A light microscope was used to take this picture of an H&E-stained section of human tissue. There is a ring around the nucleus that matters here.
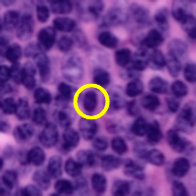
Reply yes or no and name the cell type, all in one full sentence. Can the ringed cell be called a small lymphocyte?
Yes, the ringed cell is properly regarded as a small lymphocyte.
